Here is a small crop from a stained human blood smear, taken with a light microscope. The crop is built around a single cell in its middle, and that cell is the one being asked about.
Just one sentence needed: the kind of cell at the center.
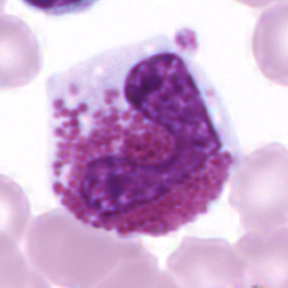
In the middle of this smear crop, the cell is an eosinophil.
